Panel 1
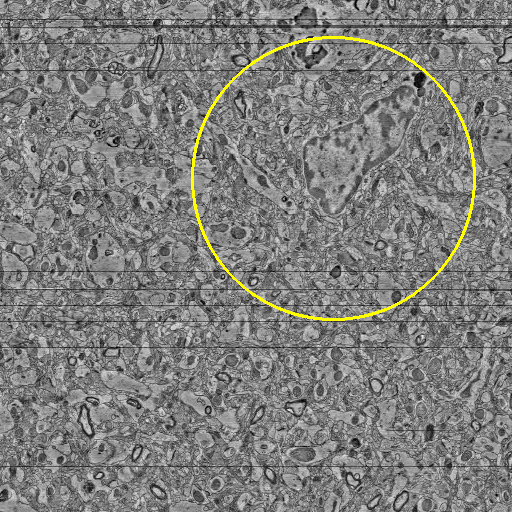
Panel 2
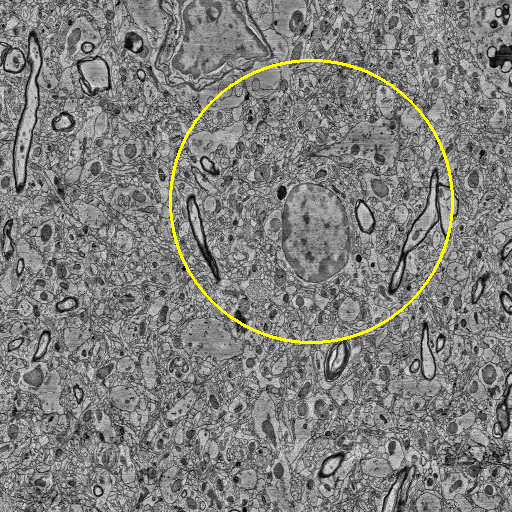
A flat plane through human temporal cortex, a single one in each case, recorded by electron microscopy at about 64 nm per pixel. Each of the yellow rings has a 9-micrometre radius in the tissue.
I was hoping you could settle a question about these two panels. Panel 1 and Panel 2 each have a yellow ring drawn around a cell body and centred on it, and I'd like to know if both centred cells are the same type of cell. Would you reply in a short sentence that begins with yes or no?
Yes, both are the same type of cell.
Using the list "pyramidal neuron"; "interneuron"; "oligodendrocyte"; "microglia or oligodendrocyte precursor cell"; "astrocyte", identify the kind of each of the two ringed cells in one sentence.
In the first picture and in the second, the ring is centred on a microglial cell or oligodendrocyte precursor cell.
